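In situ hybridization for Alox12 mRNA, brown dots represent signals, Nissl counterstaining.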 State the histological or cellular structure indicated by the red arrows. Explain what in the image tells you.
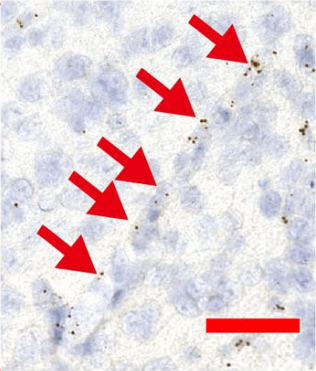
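The brown dots marked by the arrows lie along a thin diagonal line running between the blue-stained nuclei. The dots are not scattered evenly among the surrounding cell bodies but follow a narrow linear track. On this evidence: blood vessel-like structure.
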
